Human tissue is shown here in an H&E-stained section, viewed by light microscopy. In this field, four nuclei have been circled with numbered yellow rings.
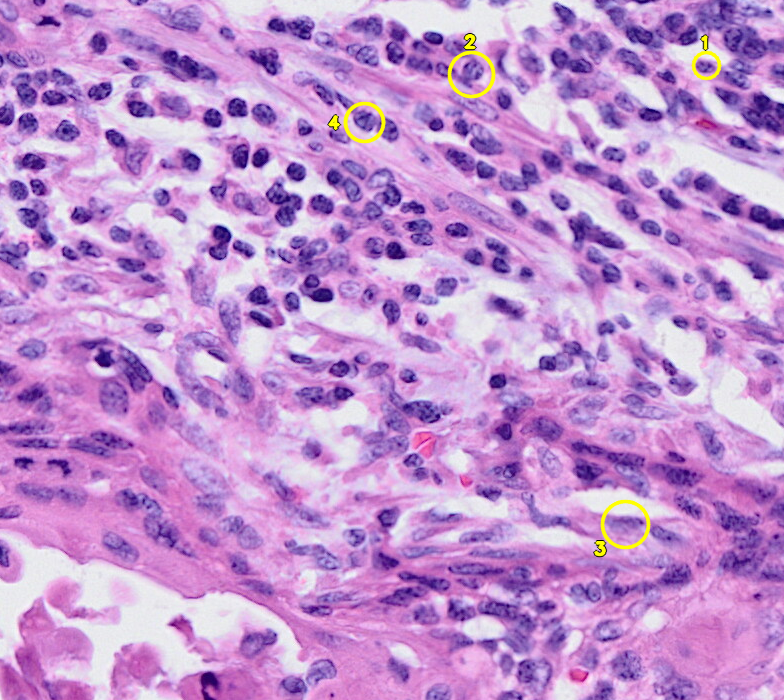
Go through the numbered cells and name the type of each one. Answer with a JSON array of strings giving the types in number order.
["lymphocyte", "lymphocyte", "fibroblast", "lymphocyte"]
